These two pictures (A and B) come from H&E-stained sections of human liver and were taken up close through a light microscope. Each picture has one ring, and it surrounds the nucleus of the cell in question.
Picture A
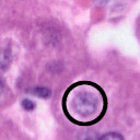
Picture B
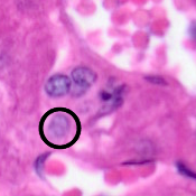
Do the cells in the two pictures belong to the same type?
no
